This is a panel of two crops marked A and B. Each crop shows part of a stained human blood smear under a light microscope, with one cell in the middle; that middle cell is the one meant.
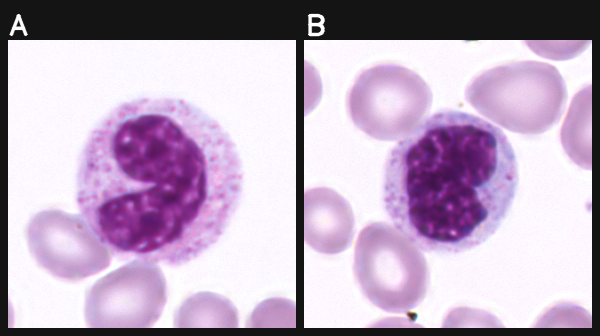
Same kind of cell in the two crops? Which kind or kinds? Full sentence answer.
Yes, both crops depict band neutrophils at the centre.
